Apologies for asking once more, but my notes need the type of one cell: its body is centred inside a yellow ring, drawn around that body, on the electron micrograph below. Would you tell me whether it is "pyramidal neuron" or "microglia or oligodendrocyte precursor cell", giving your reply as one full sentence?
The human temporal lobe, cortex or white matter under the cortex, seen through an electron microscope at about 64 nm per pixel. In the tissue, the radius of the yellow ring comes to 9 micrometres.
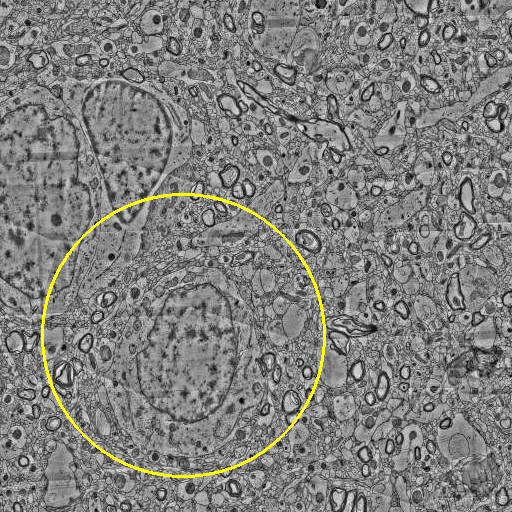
The cell that the yellow ring is centred on is a pyramidal neuron in this micrograph.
